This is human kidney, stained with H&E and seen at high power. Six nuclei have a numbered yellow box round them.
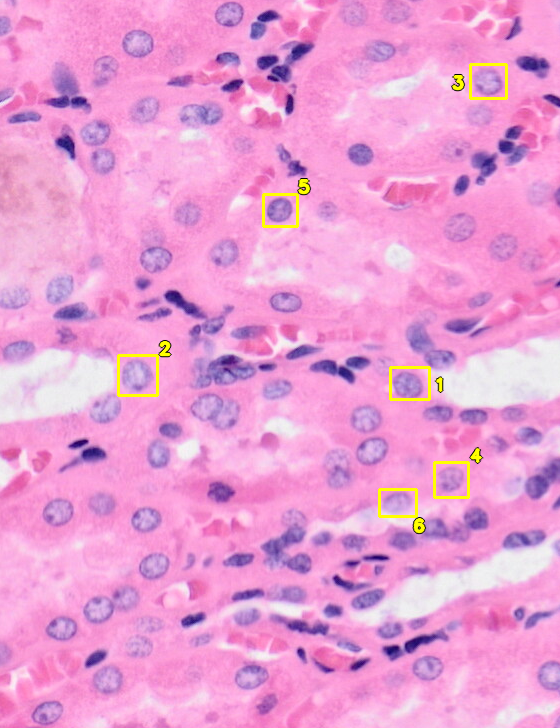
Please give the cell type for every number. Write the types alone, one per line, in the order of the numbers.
loop of Henle or distal tubule cell
loop of Henle or distal tubule cell
proximal tubule cell
loop of Henle or distal tubule cell
proximal tubule cell
loop of Henle or distal tubule cell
